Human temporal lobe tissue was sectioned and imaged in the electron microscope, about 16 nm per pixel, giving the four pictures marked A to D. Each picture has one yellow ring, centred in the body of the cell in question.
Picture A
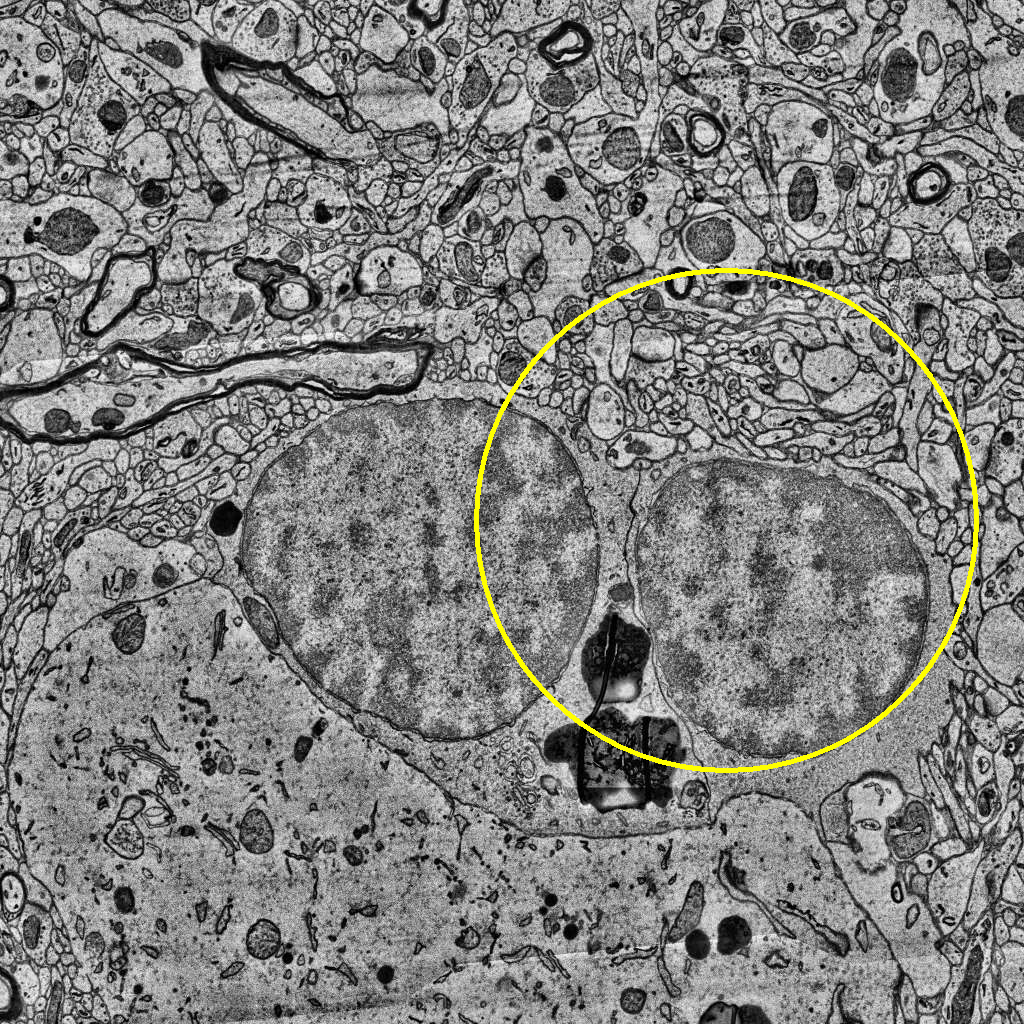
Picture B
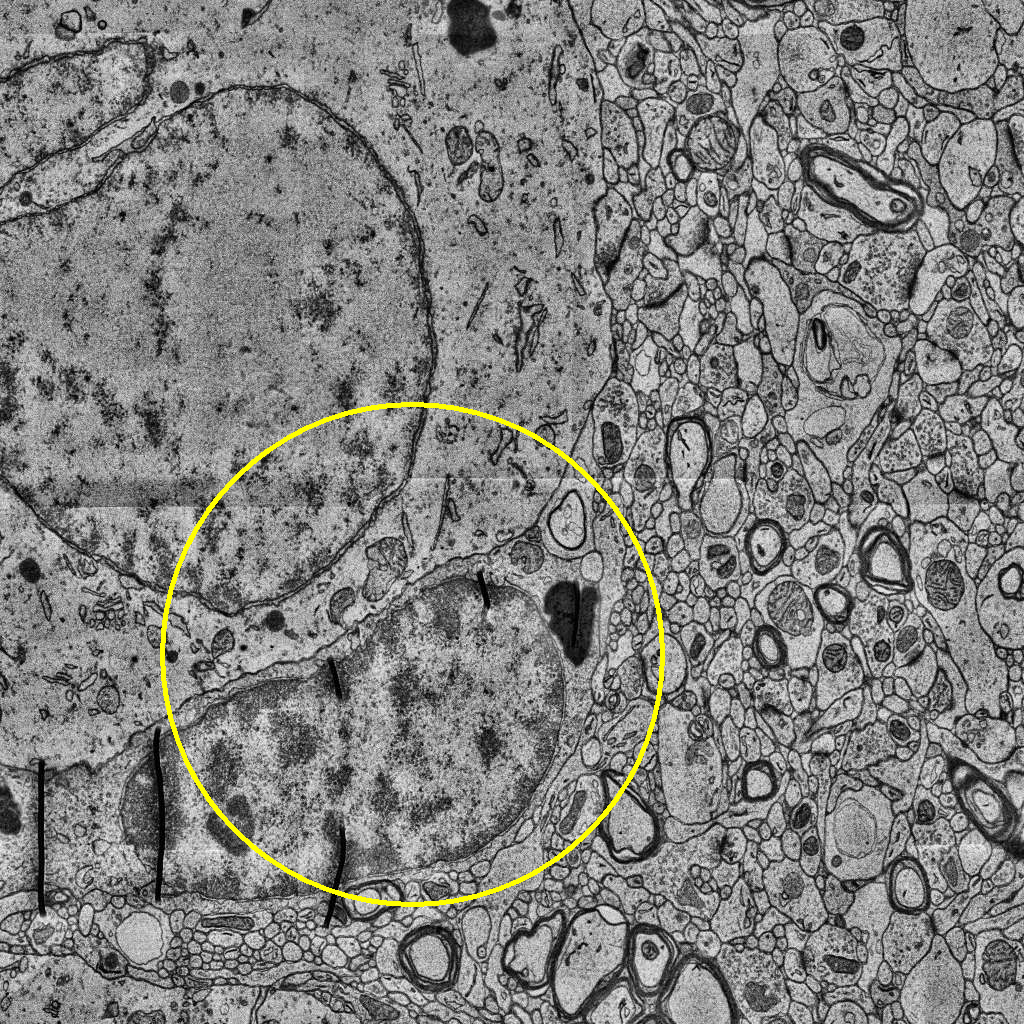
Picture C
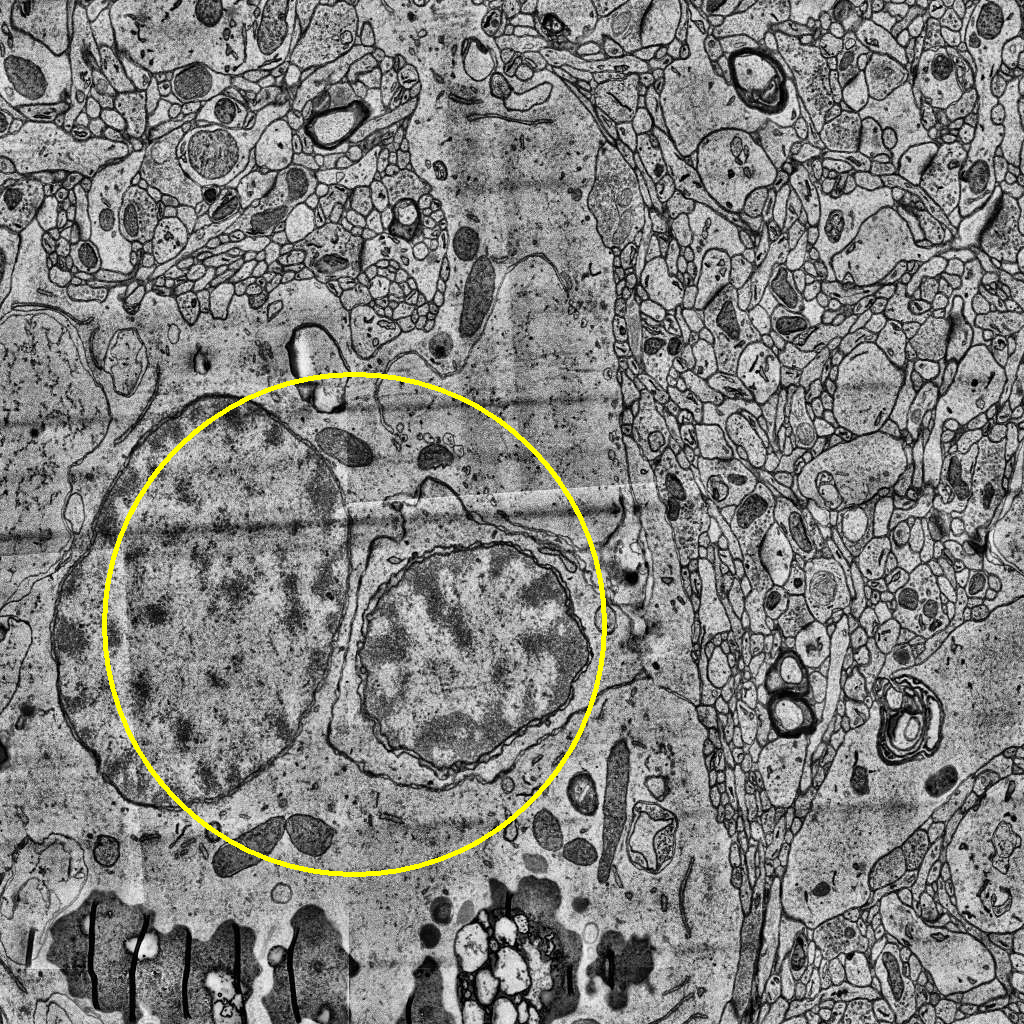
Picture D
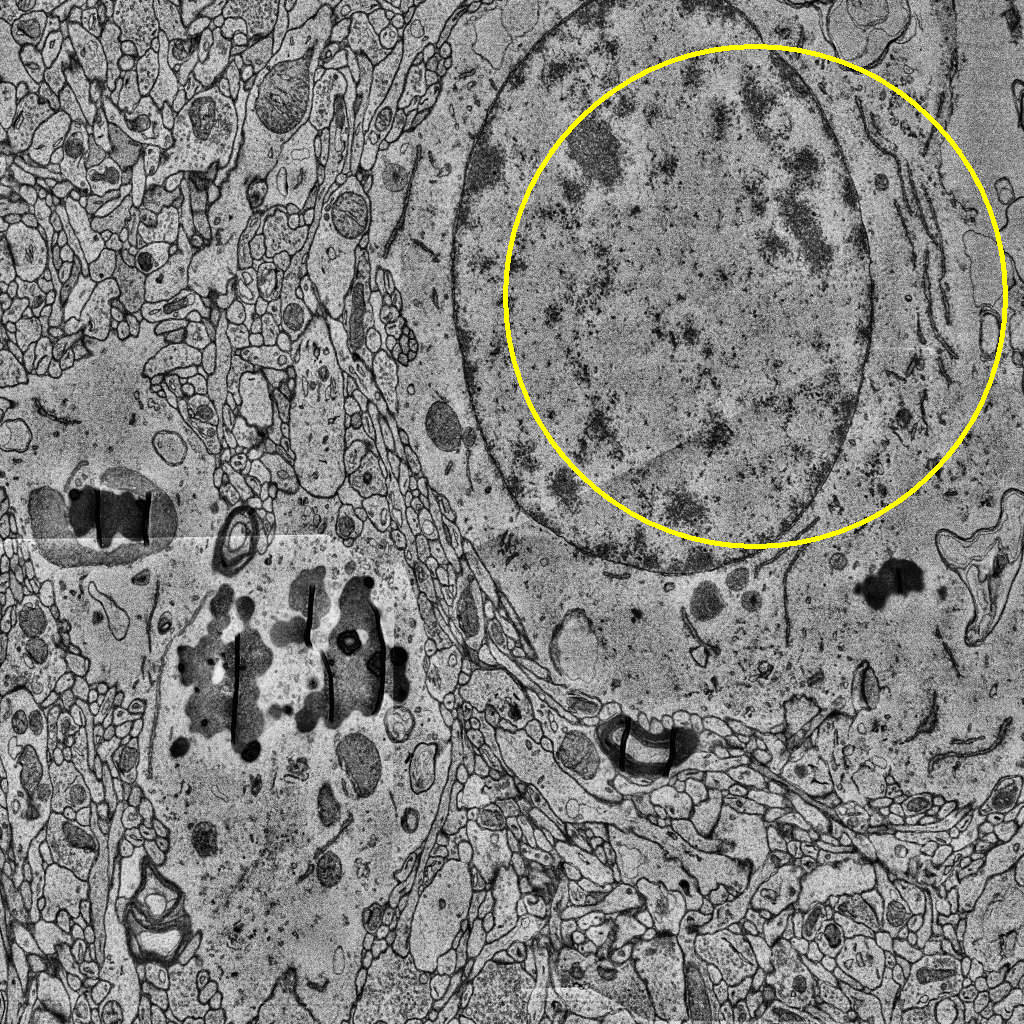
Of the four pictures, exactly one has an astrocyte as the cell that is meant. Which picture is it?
The astrocyte is the one in picture D.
